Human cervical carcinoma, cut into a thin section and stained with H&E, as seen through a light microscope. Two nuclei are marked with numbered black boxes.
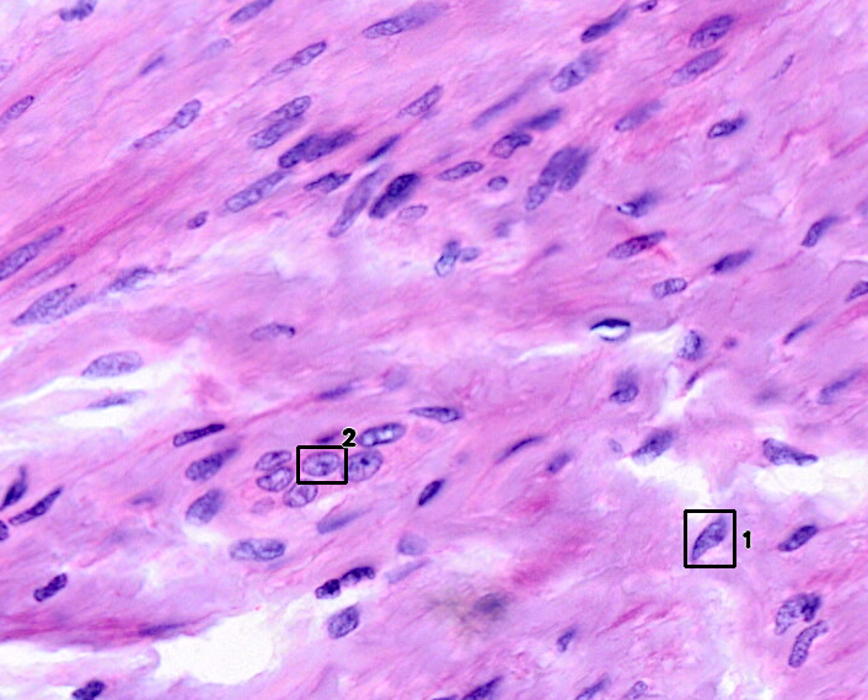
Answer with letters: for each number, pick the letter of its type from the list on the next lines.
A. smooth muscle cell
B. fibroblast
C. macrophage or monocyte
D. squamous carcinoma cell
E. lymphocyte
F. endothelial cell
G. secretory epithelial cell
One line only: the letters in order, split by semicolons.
B; F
